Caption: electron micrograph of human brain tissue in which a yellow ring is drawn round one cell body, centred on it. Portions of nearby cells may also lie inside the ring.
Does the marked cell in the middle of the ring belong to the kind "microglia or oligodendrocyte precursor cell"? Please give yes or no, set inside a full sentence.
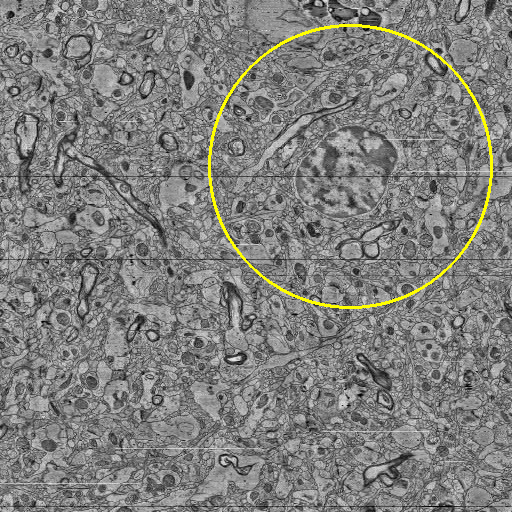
Yes, the marked cell that the ring is centred on in the picture is of that kind.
